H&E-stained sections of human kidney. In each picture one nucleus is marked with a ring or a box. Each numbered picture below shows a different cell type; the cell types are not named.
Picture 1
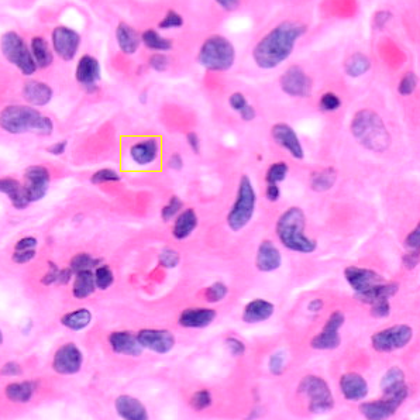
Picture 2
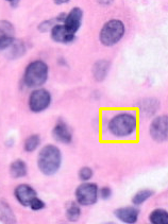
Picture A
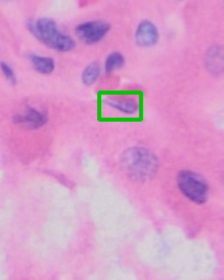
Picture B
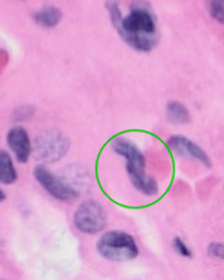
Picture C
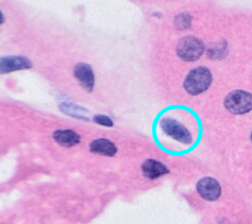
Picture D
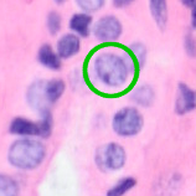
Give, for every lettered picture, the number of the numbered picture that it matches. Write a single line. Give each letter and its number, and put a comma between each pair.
A 1, B 1, C 1, D 2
